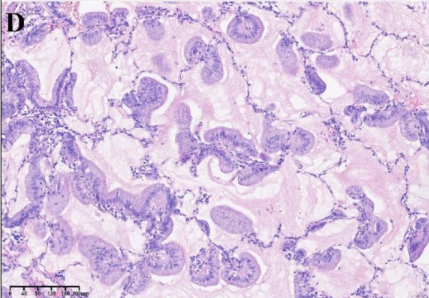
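Lung tissue in which mucinous tumor cells line thin, preserved alveolar walls. The surrounding airspaces are filled with pale pink, wispy mucus.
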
